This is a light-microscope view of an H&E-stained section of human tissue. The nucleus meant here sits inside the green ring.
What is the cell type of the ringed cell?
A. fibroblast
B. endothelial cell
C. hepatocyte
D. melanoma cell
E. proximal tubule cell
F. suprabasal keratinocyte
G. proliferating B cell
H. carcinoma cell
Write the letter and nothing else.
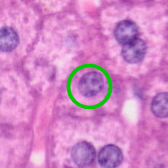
C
